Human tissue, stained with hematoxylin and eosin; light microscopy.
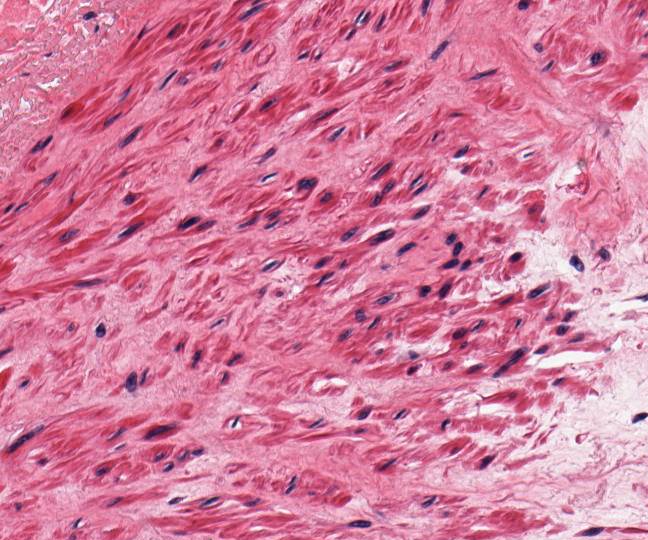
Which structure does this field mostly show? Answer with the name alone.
tunica media of an artery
